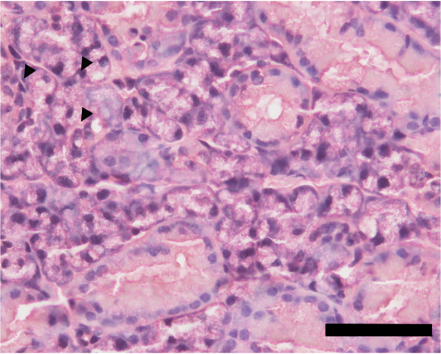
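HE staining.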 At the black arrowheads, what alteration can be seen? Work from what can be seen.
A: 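Vacuolization of acinar cells. Three black arrowheads point into a crowded area of small glandular cells at upper left. The cytoplasm of the cells near the arrowheads is broken up by small clear spaces.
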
